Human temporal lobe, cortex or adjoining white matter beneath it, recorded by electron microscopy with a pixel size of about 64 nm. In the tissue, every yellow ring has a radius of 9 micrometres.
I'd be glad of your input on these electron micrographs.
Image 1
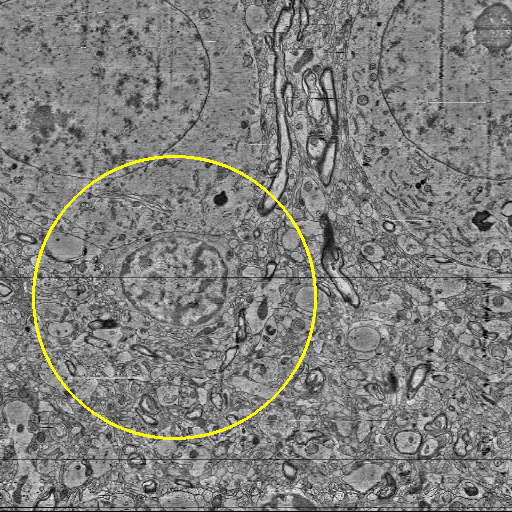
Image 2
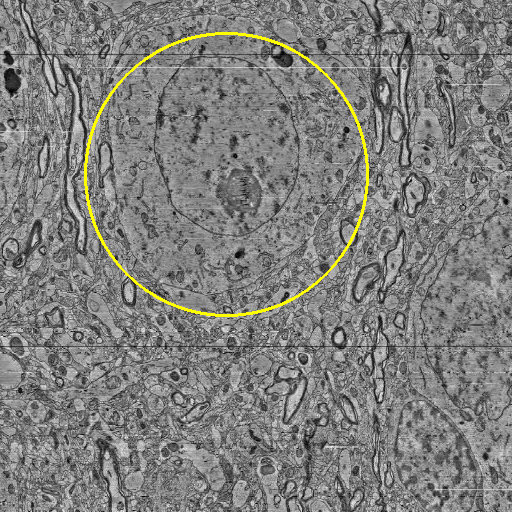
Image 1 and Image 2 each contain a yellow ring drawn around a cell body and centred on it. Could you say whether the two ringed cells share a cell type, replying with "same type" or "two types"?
two types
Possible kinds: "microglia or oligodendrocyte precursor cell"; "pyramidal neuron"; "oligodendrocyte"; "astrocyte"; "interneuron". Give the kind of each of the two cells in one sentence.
The cell in the second picture is a pyramidal neuron, and that in the first is an oligodendrocyte.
